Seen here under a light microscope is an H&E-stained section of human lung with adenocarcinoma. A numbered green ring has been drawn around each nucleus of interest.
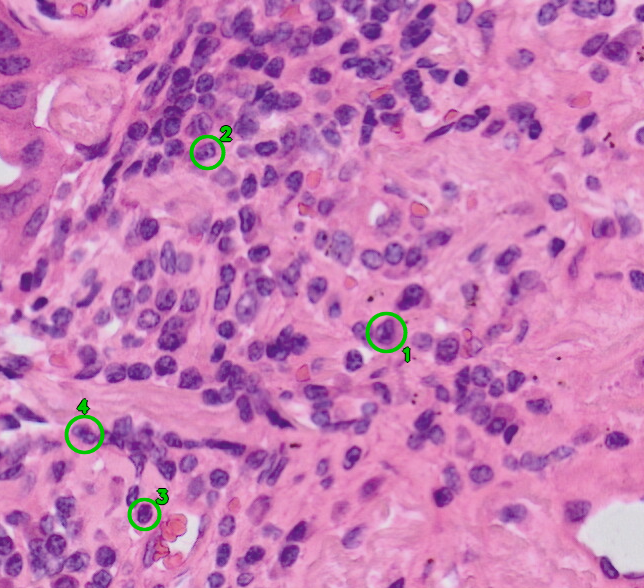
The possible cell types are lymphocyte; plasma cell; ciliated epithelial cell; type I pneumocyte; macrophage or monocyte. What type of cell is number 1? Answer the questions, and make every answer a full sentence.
The cell marked with the number 1 is a plasma cell.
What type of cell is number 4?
Nucleus 4 in this section belongs to a lymphocyte.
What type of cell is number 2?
The label 2 in this section denotes a lymphocyte.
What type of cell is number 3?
The cell that goes by number 3 is a lymphocyte.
